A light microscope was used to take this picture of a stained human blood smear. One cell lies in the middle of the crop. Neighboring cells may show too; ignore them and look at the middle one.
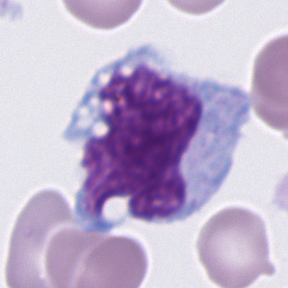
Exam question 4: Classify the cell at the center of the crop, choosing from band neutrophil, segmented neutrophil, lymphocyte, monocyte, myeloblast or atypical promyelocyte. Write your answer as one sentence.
The central cell, amid any neighbouring cells, is a monocyte.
